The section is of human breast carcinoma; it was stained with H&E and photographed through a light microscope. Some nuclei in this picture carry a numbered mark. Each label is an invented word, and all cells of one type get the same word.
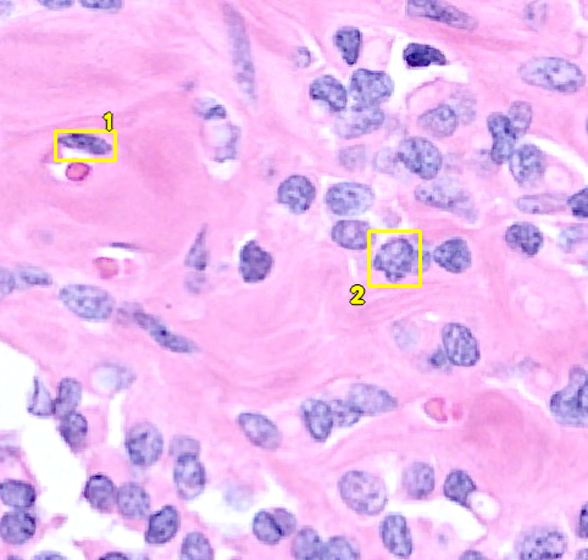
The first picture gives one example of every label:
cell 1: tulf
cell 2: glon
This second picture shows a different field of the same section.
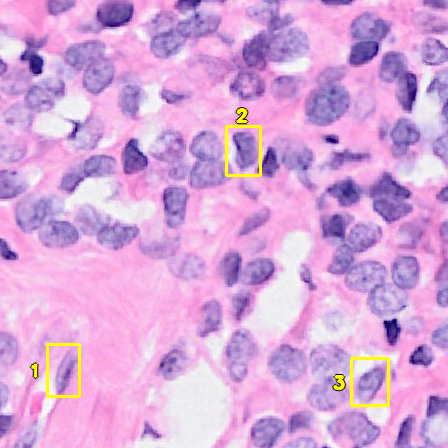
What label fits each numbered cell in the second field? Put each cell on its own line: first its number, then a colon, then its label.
1: tulf
2: glon
3: glon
